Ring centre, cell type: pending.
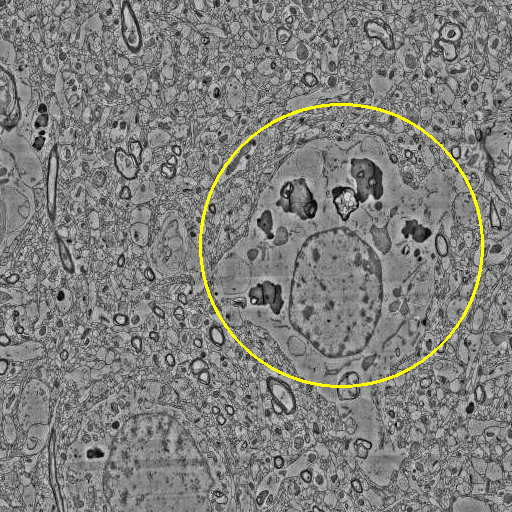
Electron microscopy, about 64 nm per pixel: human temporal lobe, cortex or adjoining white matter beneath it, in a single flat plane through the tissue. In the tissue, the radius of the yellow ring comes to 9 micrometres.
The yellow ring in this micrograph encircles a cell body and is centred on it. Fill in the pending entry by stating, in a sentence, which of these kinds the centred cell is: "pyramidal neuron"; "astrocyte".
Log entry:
The centred cell is recorded as an astrocyte.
